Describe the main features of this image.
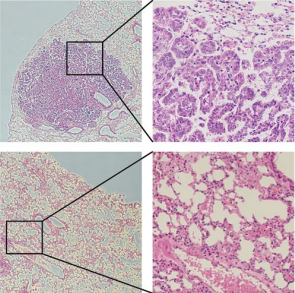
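This is lung tissue stained pink and purple, shown at low and higher magnification in two rows. In the lower row, thin pink septa with scattered purple nuclei enclose many open airspaces, forming a delicate lace-like network. In the upper row, a compact, densely cellular purple nodule lies at the edge of the tissue.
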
